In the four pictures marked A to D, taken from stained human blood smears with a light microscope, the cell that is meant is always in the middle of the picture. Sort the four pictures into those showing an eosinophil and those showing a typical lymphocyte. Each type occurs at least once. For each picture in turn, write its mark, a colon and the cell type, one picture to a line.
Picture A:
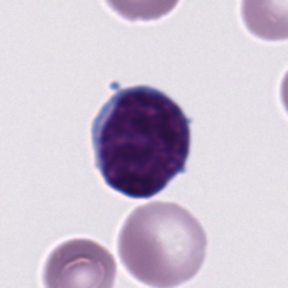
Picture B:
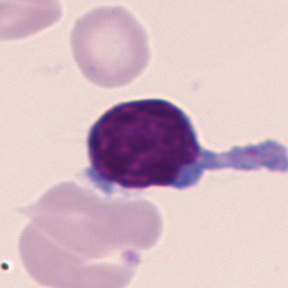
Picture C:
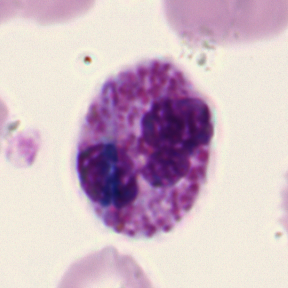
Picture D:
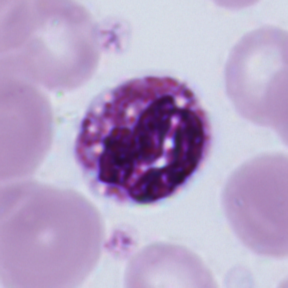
A: typical lymphocyte
B: typical lymphocyte
C: eosinophil
D: eosinophil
